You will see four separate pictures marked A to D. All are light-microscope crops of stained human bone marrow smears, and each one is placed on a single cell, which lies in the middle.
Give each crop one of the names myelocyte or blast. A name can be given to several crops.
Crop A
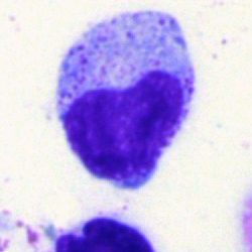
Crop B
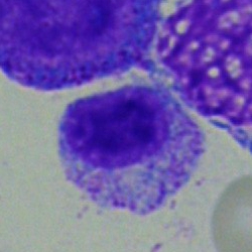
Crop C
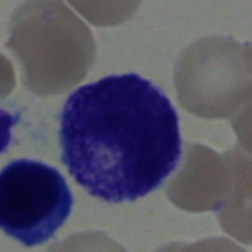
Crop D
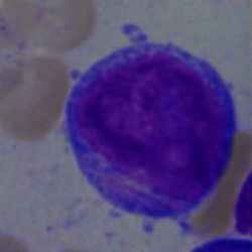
A: myelocyte
B: myelocyte
C: myelocyte
D: blast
